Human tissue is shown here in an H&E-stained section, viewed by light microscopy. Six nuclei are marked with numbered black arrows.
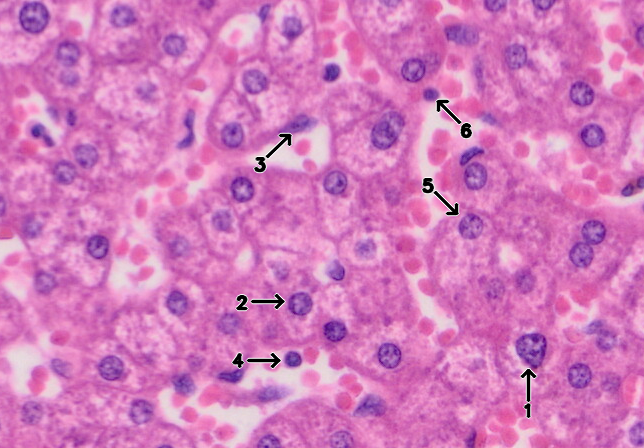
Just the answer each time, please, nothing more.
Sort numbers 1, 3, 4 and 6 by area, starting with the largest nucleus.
1, 3, 4, 6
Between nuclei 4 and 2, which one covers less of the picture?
4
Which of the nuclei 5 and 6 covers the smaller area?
6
